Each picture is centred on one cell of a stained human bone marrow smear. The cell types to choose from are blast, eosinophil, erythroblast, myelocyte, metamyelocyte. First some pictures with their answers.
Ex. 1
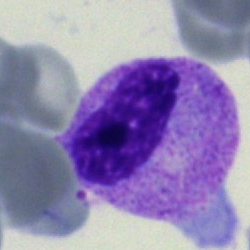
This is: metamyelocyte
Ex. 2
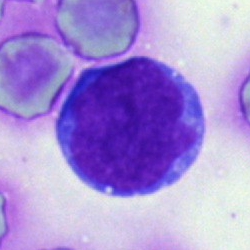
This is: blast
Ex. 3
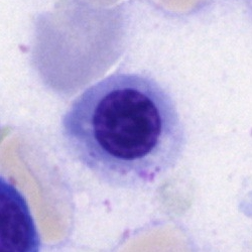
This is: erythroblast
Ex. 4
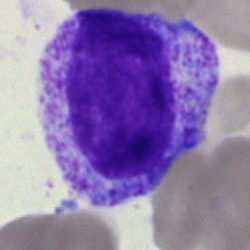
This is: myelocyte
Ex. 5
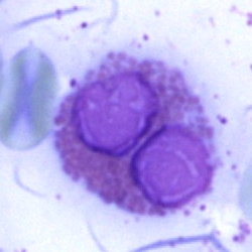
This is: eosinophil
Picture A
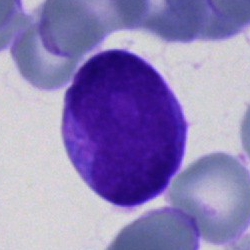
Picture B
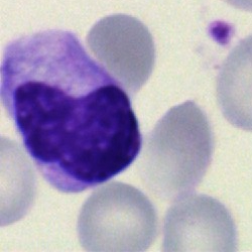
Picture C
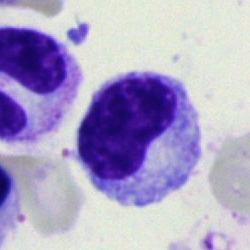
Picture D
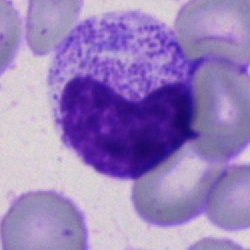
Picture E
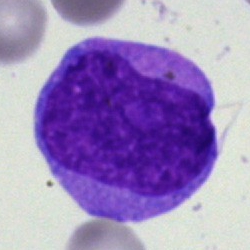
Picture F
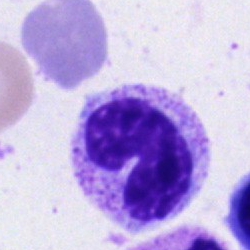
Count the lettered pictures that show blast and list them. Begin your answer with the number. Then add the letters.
Count: 2 (A, E)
